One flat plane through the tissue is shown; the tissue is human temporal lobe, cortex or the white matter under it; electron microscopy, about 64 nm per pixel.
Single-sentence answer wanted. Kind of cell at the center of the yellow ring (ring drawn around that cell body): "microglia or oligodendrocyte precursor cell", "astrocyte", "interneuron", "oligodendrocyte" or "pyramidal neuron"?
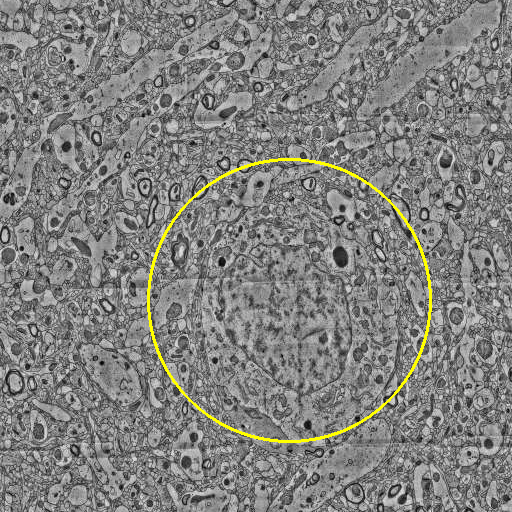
The cell centered in the ring is an interneuron.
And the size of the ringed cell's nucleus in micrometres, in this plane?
In this plane the nucleus measures roughly 10 by 8 micrometres.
